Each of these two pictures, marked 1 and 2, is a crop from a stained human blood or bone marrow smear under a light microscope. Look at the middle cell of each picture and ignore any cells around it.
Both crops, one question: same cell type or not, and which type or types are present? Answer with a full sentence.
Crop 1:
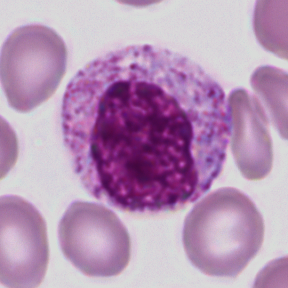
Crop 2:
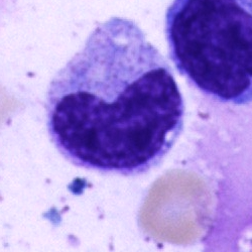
Yes, what both crops show is metamyelocytes.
